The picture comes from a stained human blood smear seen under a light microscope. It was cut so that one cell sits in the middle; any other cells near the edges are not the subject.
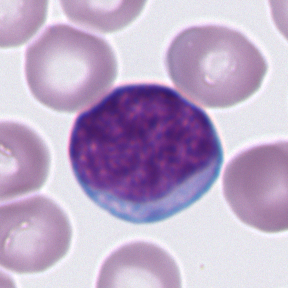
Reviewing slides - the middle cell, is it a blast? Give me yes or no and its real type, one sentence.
No, the middle one is a lymphocyte rather than a blast.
